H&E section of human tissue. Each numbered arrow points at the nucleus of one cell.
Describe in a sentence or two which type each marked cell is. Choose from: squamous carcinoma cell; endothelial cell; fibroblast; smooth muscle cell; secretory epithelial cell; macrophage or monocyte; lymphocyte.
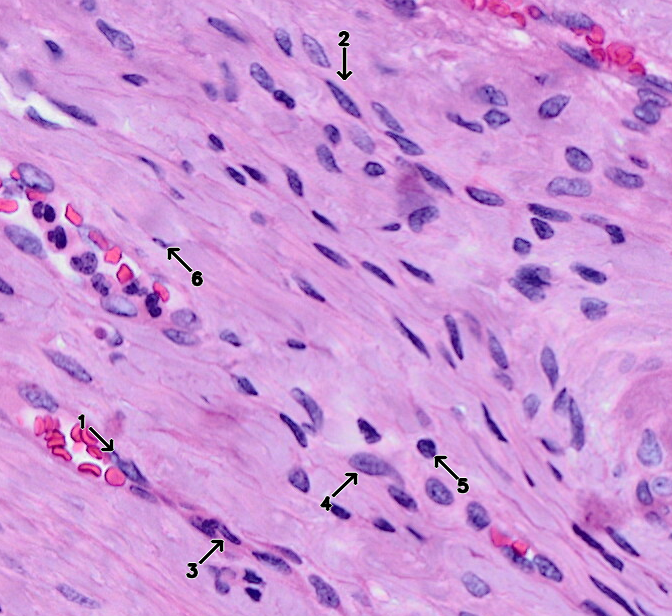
Cells 1 and 3 are endothelial cells. Cells 2, 4 and 6 are fibroblasts. Cell 5 is a lymphocyte.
